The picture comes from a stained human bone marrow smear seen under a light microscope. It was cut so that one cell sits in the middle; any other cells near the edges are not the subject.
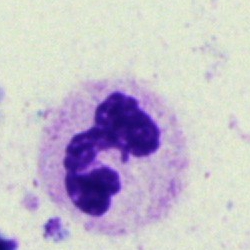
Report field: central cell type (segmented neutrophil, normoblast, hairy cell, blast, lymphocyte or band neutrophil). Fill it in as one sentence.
The crop shows a segmented neutrophil in its centre.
